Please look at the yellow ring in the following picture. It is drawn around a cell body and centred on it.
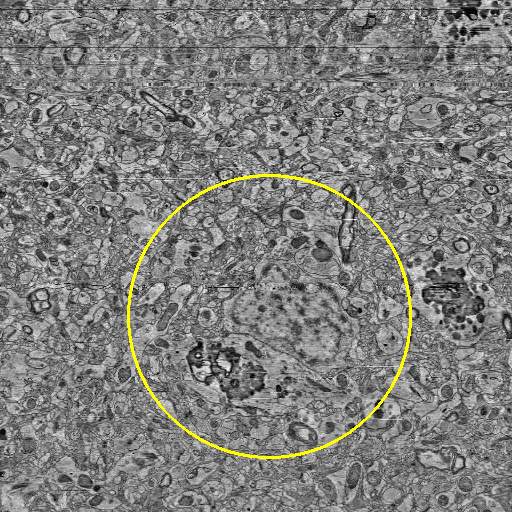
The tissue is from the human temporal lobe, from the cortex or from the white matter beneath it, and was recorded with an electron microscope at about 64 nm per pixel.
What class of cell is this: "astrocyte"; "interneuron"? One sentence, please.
The ring surrounds the cell body of an interneuron.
